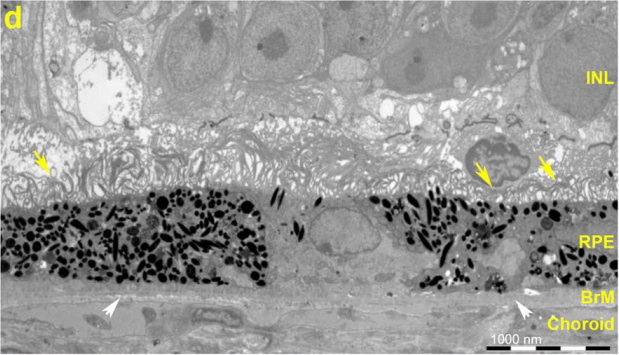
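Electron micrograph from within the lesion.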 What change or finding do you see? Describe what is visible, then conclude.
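In the pigmented cell layer, one cell in the middle holds few dark granules. Cells on either side are packed with dense black granules.
Conclusion: neighbouring hypopigmented as well as hyperpigmented cells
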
